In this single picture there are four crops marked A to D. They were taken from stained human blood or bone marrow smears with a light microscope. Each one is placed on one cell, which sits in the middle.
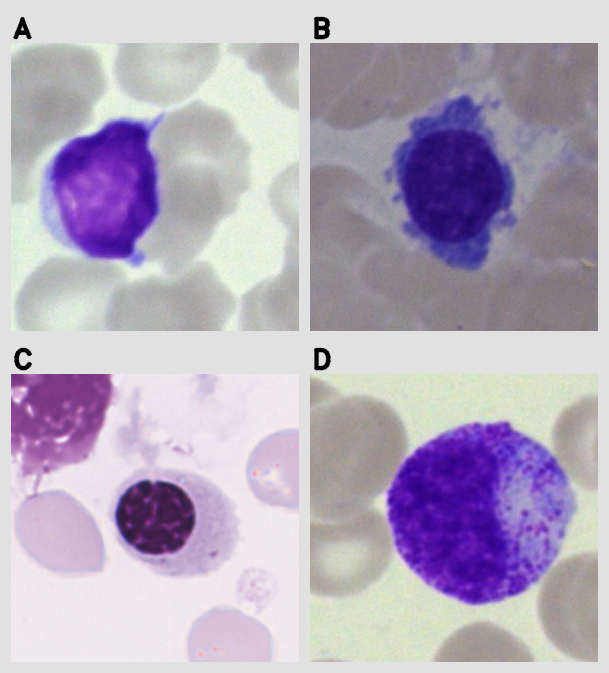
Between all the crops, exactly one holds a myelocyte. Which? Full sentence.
Of the crops given, a myelocyte is found in crop D.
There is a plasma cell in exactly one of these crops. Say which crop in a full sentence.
Crop B is where a plasma cell is shown.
